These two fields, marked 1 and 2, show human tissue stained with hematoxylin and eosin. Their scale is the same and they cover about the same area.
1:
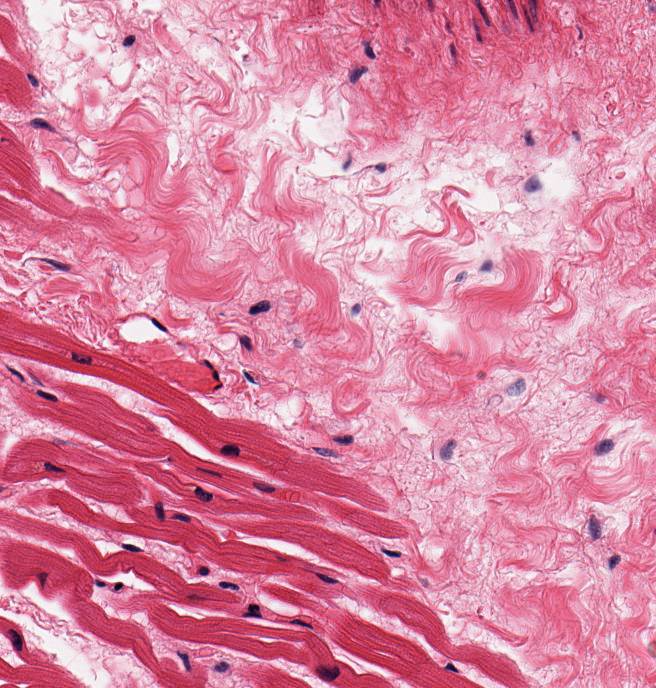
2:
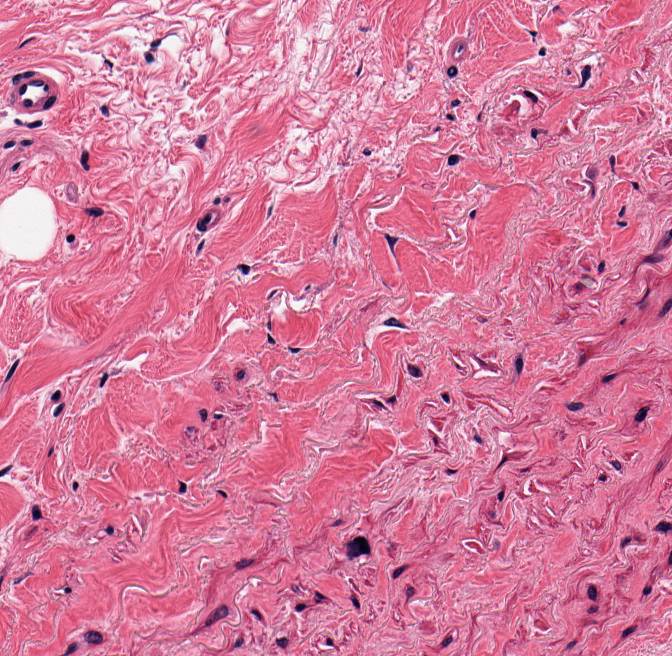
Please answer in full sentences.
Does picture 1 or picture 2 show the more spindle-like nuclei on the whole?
The nuclei are more elongated in picture 1.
